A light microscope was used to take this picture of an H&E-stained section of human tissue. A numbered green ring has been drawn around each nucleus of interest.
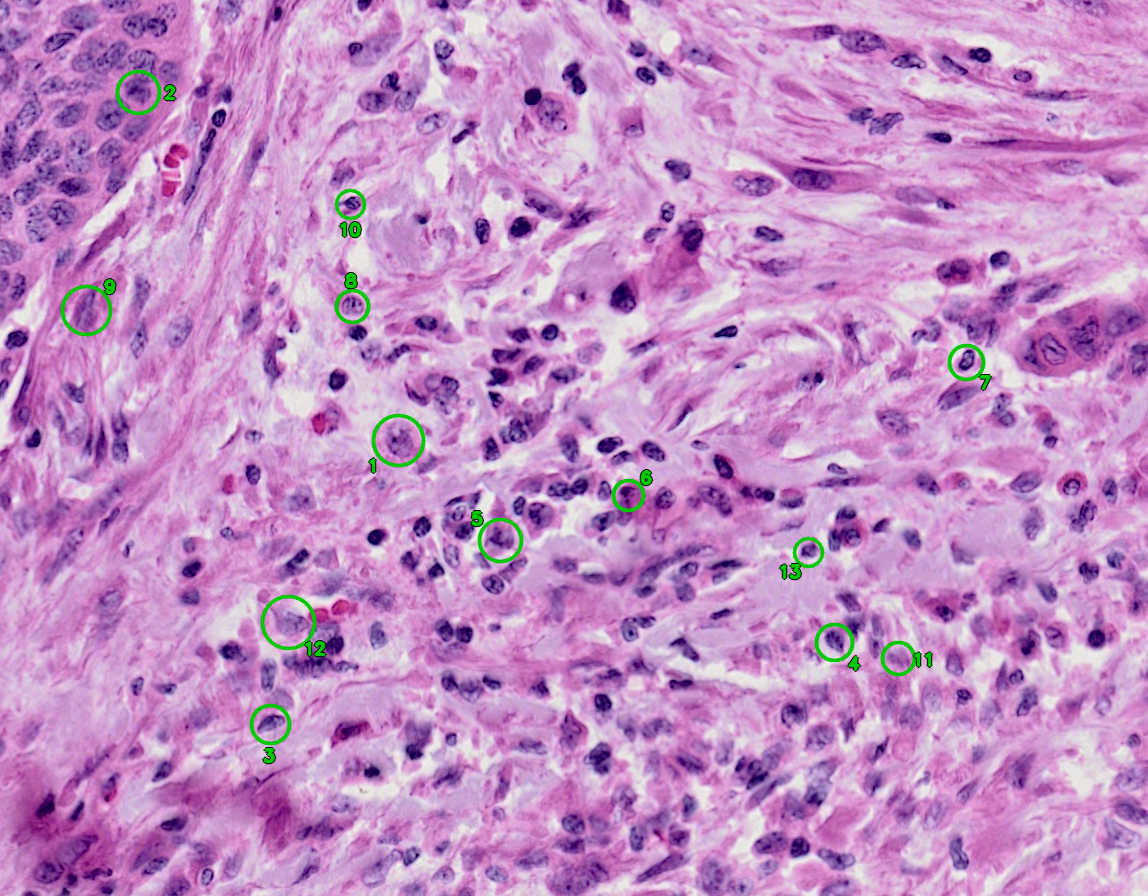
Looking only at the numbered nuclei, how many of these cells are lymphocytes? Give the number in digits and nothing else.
5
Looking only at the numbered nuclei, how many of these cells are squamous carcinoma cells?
1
